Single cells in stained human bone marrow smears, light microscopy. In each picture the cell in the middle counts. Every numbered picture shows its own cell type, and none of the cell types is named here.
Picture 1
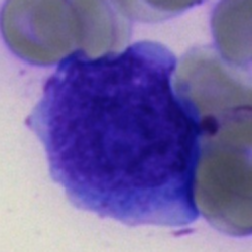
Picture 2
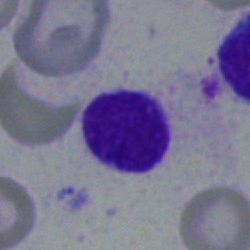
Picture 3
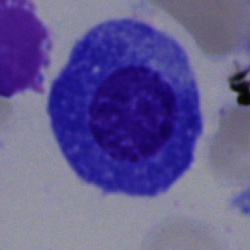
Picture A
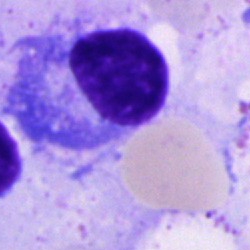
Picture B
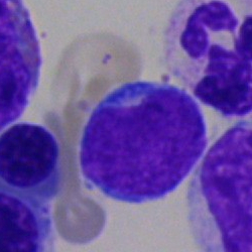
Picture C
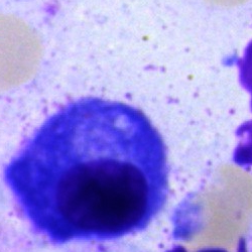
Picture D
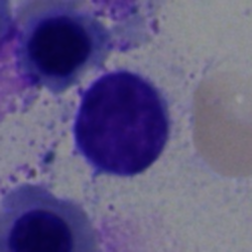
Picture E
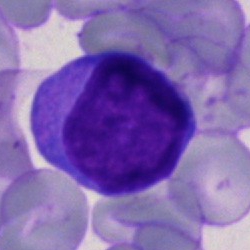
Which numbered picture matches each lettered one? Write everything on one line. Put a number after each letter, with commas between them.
A 3, B 2, C 3, D 2, E 1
